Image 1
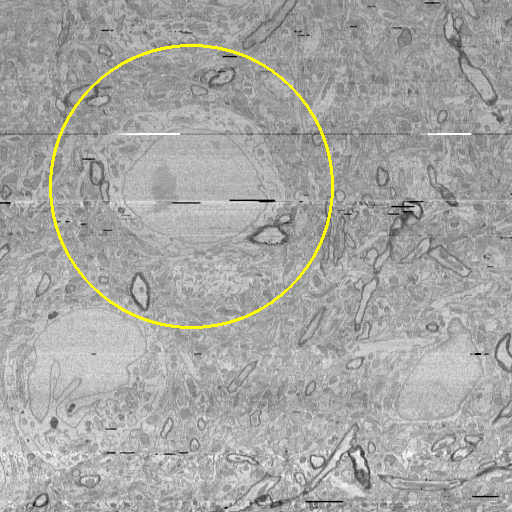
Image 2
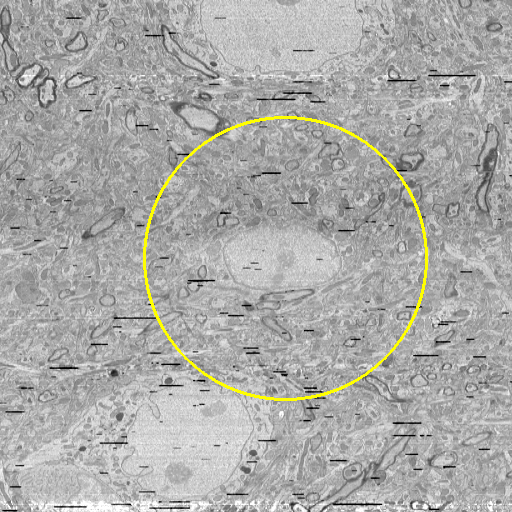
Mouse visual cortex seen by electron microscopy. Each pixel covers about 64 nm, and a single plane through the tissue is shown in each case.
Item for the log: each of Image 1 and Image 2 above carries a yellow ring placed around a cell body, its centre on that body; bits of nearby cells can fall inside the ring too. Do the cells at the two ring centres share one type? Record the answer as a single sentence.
No, the two cells at the ring centres in Image 1 and Image 2 are of two types.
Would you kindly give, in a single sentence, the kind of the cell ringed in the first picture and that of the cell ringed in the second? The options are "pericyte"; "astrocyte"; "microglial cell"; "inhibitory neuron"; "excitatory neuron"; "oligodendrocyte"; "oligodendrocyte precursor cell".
The second cell is an astrocyte, and the first cell is an excitatory neuron.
